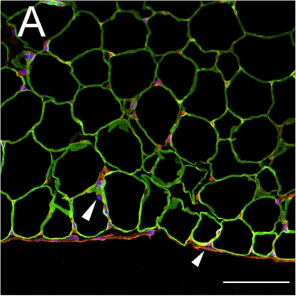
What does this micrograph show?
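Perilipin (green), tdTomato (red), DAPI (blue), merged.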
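This is white adipose tissue made of closely packed, large polygonal adipocytes whose interiors look empty and whose thin rims glow green. The cells are smaller toward the lower border and larger further in. Along the bottom edge a continuous red-yellow band borders the tissue like a covering membrane.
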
